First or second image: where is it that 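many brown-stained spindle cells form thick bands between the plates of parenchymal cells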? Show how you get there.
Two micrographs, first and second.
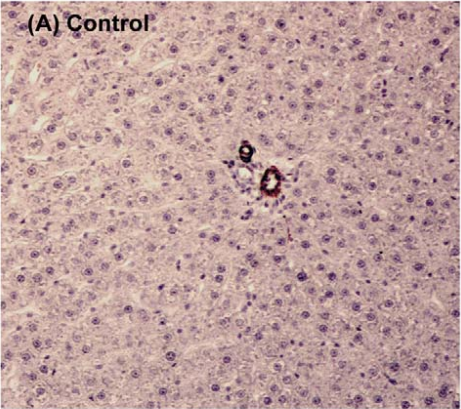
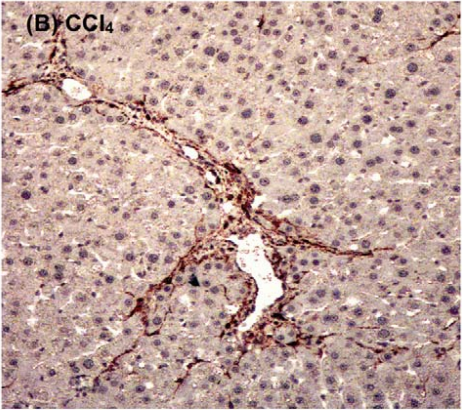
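The second image. Second image: broad brown bands of spindle cells radiate from a vessel through the parenchyma. First image: brown stain only rings two small vessels, the parenchyma is otherwise unstained.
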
